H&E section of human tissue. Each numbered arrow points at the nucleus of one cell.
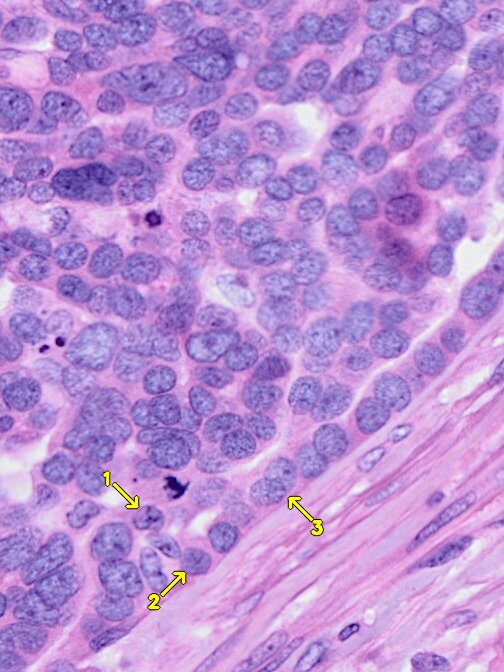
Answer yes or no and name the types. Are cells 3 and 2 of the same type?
Yes, both are carcinoma cells.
